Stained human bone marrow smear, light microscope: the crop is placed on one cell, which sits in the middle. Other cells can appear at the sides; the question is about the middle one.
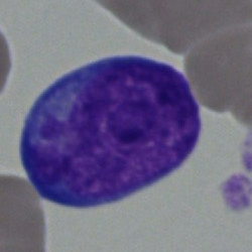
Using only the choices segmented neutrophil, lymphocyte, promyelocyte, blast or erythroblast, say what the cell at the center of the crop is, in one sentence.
The cell centred in this crop is categorized as a blast.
